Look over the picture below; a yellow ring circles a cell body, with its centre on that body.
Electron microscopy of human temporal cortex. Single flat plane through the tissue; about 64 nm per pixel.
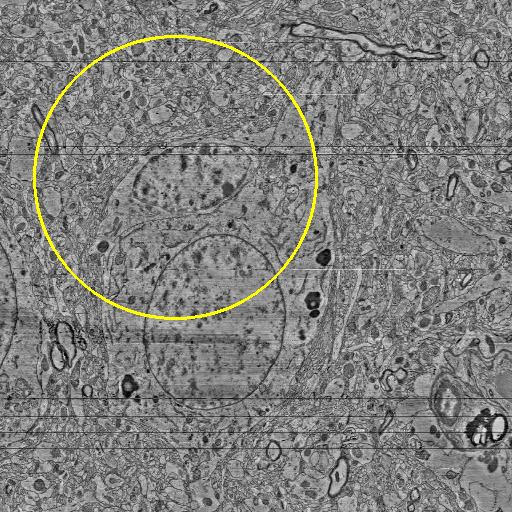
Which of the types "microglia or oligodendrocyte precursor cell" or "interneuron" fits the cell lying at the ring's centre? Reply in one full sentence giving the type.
The picture shows a microglial cell or oligodendrocyte precursor cell at the centre of the yellow ring.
